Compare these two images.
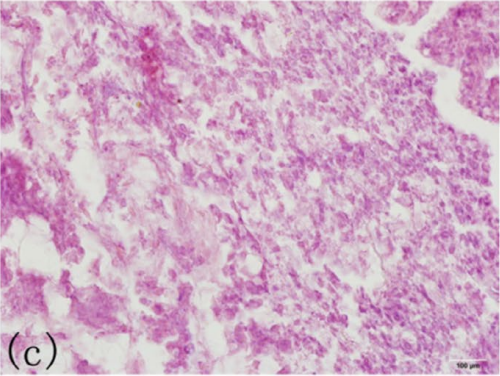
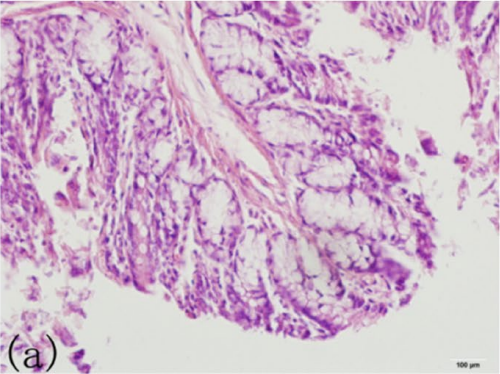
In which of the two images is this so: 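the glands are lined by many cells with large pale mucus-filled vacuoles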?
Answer: the second image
